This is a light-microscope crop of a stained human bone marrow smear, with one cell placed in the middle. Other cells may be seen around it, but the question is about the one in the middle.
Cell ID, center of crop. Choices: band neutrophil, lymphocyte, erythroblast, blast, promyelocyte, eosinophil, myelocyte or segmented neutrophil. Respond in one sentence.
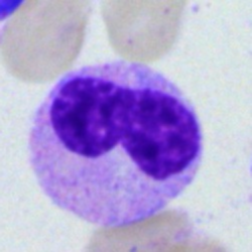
The cell in the middle of the field of view is a band neutrophil.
